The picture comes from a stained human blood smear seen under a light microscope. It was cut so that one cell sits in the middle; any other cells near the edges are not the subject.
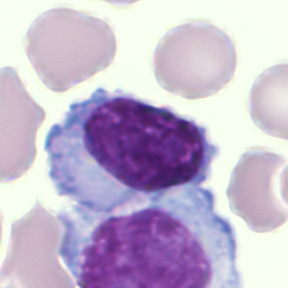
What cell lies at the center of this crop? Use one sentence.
The cell in the middle of the field of view is a plasma cell.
